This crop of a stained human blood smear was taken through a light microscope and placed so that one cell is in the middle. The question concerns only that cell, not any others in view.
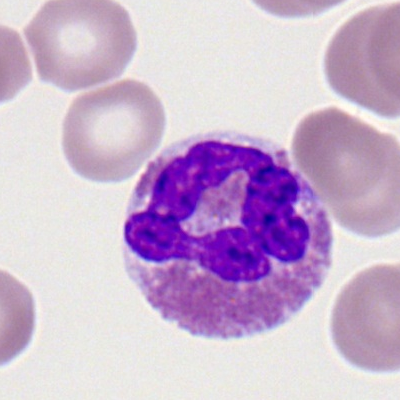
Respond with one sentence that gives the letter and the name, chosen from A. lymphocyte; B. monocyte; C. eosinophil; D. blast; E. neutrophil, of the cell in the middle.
The correct option here is C; the middle cell is an eosinophil.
